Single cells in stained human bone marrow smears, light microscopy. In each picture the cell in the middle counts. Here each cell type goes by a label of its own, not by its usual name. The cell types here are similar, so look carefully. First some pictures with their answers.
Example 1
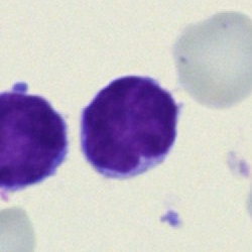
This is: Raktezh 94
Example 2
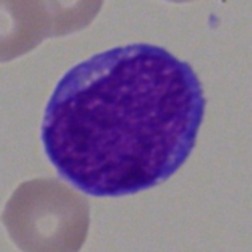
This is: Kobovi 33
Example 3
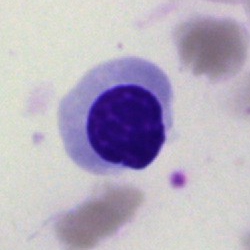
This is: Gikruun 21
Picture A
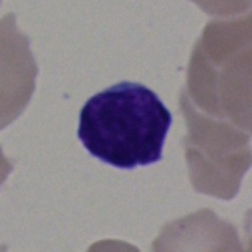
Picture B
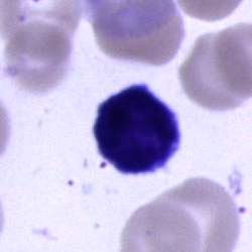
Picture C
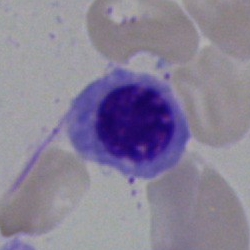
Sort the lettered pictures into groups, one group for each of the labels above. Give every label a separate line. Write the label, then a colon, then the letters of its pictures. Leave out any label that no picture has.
Raktezh 94: A, B
Gikruun 21: C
